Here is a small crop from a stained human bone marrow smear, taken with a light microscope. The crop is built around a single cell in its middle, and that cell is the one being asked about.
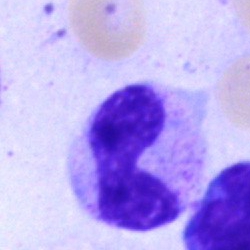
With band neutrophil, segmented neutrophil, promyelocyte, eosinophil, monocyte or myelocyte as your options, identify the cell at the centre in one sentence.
Of the cells in this crop, the central one is a band neutrophil.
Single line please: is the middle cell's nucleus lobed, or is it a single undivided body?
Key feature: a single compact nucleus, round, oval or kidney-shaped.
